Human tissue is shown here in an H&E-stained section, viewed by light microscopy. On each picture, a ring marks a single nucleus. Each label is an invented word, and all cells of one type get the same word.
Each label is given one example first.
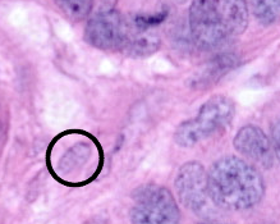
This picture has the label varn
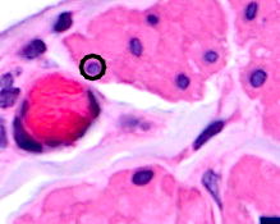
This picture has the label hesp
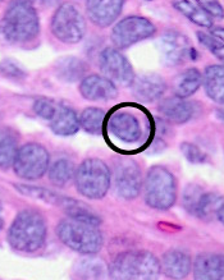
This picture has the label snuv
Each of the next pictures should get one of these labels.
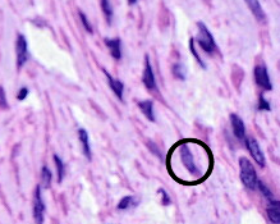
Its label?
varn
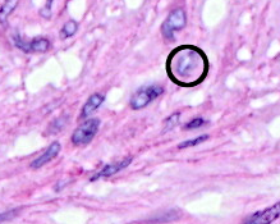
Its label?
varn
